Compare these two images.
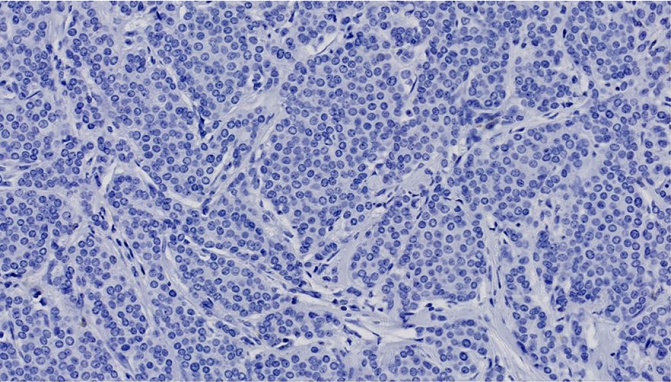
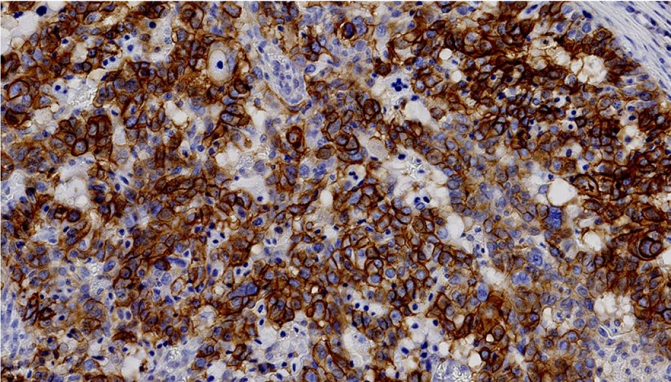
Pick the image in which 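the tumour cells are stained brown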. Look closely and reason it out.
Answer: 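Second image: dense brown stain fills most of the tumour cells. First image: tumour nests are blue only, with no brown stain.
The second image.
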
